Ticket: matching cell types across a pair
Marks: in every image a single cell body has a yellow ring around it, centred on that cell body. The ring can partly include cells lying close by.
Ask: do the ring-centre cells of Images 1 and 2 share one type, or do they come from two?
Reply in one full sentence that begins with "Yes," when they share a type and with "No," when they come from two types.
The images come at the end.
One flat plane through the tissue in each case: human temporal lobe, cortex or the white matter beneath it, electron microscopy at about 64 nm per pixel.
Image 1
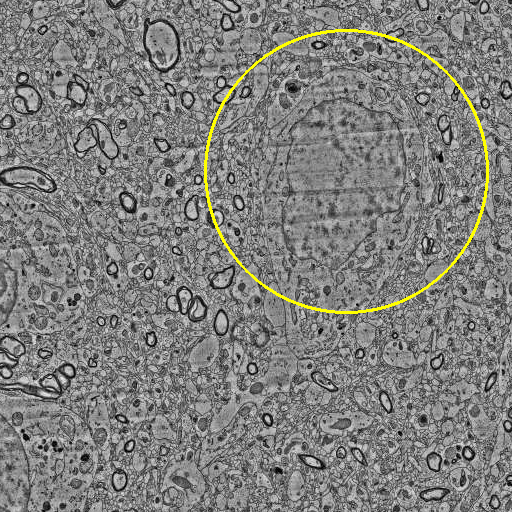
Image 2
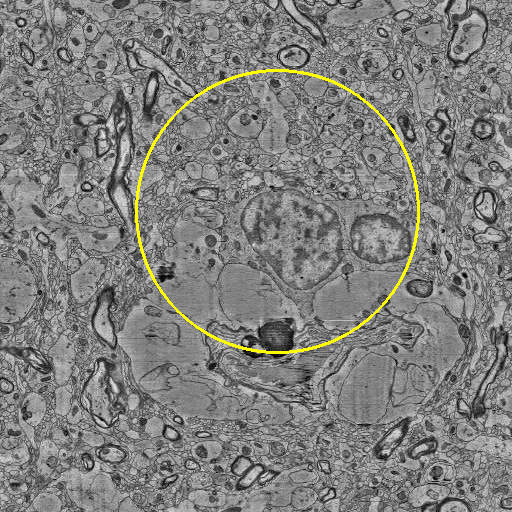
No, the cells in the centres of the rings in Image 1 and Image 2 come from two types.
